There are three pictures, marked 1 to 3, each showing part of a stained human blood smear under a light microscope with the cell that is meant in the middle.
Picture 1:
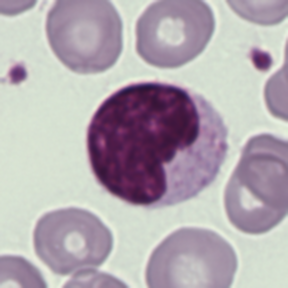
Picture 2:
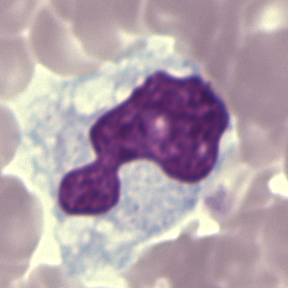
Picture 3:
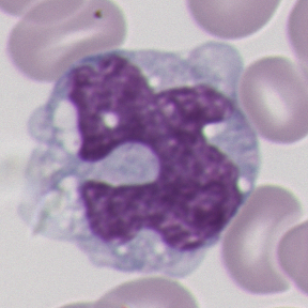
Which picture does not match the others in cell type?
1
